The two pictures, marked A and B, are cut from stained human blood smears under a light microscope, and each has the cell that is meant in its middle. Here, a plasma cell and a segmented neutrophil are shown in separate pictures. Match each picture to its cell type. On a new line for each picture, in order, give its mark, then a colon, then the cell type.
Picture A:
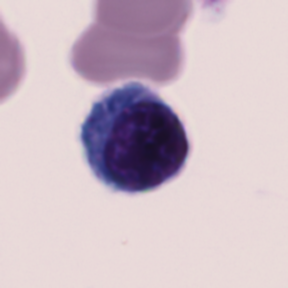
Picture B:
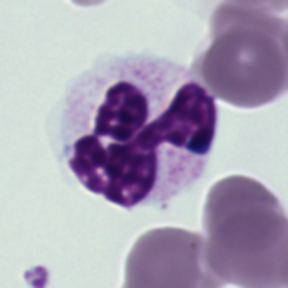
A: plasma cell
B: segmented neutrophil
